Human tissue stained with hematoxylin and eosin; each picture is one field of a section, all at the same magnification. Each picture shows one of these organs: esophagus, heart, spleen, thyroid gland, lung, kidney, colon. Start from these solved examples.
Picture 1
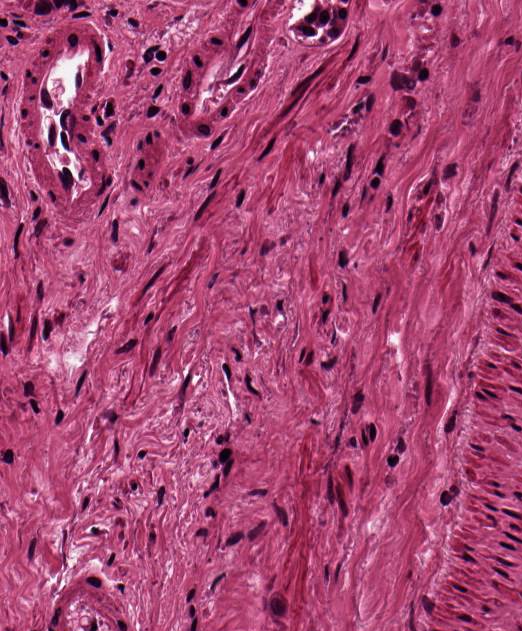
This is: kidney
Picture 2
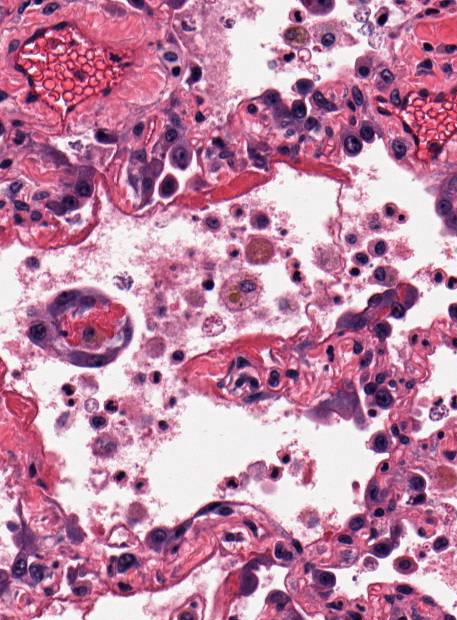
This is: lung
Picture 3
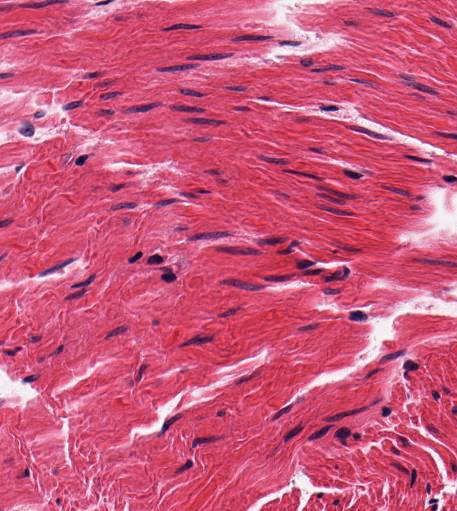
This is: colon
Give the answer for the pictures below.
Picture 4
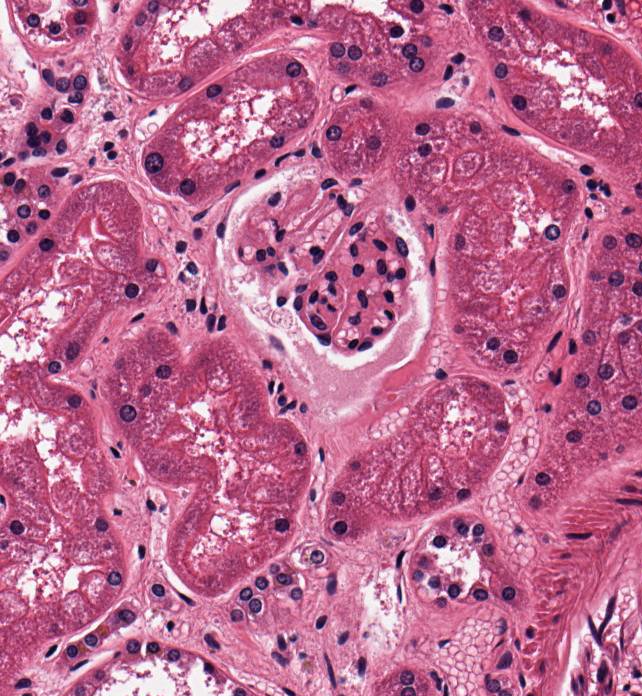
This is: kidney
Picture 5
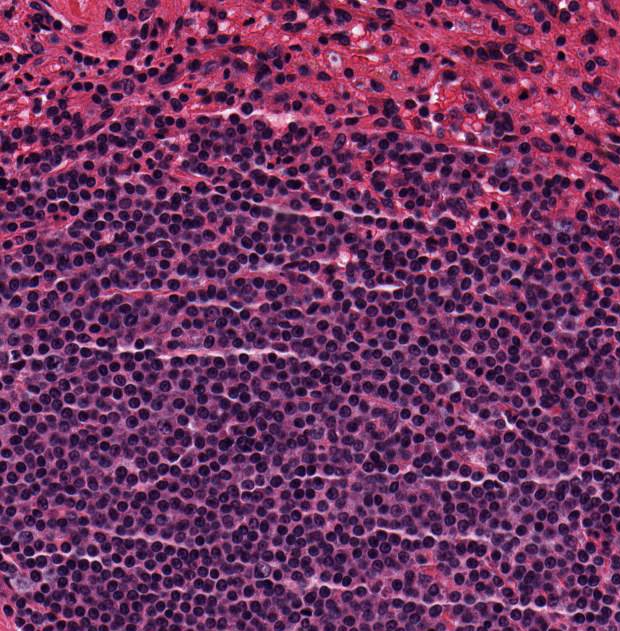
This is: spleen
